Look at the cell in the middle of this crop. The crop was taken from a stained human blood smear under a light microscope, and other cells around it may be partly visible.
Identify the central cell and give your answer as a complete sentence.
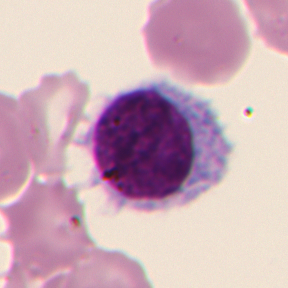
On this slide crop, the central cell is a hairy cell.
